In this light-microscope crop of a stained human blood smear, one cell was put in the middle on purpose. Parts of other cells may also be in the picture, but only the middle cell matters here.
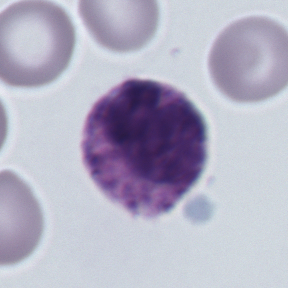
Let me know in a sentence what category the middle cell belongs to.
The centrally positioned cell in the crop represents a basophil.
